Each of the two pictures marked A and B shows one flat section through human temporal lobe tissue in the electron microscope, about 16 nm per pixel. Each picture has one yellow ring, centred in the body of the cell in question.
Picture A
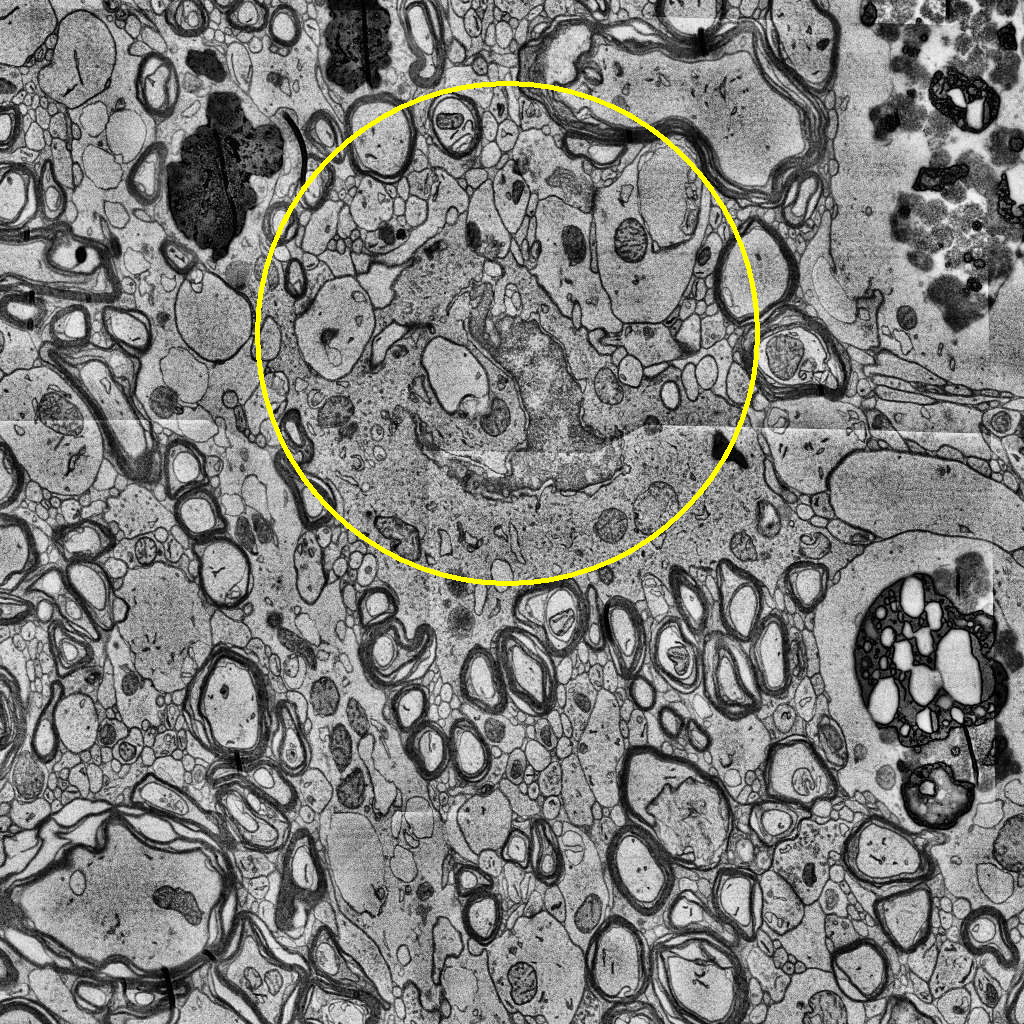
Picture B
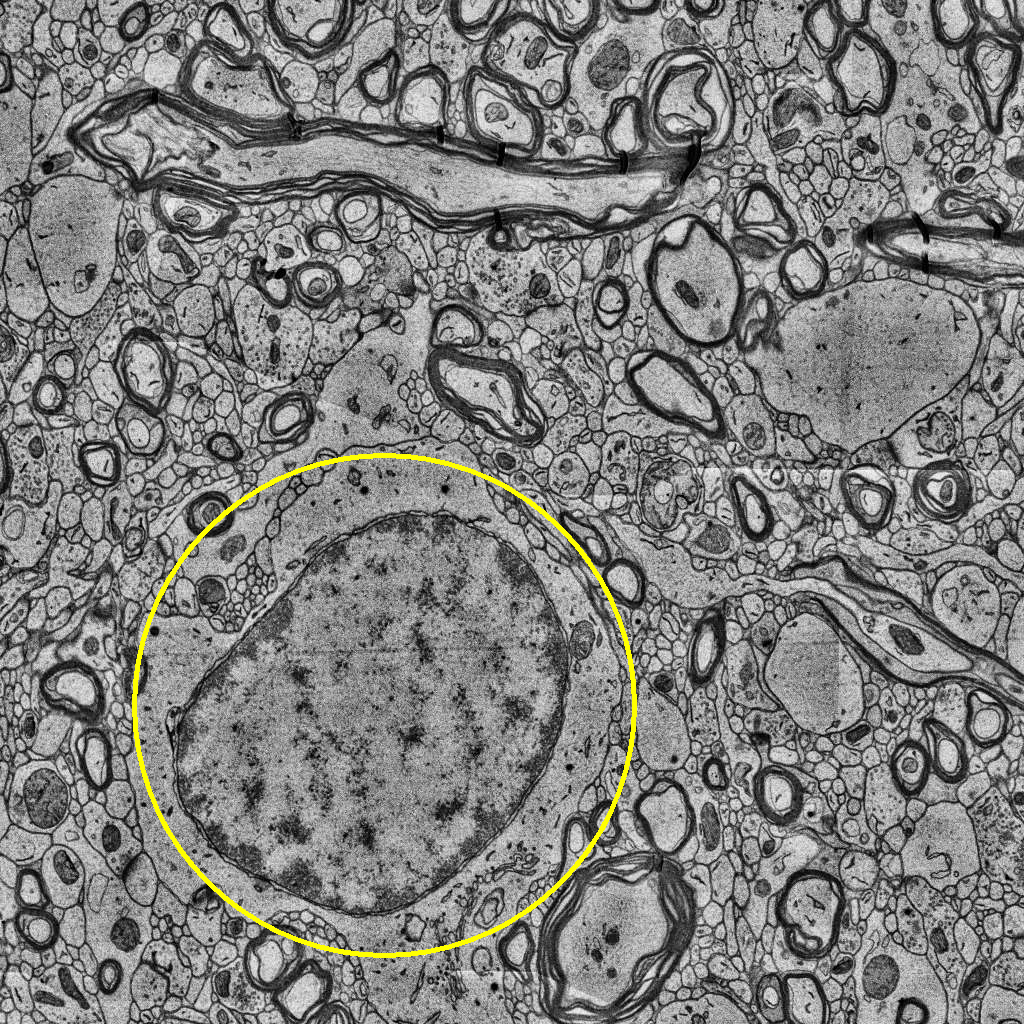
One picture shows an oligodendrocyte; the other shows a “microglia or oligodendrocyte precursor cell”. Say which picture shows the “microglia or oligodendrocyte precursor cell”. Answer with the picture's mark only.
B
